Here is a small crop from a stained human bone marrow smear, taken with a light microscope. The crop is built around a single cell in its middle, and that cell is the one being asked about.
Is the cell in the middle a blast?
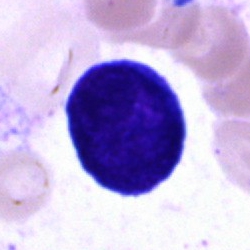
yes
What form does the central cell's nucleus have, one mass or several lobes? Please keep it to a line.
The nucleus amounts to one compact mass with a round, oval or kidney-shaped outline.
